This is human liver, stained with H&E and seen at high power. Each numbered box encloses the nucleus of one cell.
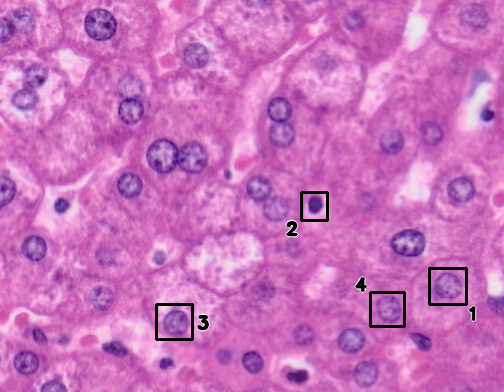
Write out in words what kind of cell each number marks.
Cell 1 is a hepatocyte, cell 2 is a lymphocyte, cell 3 is a hepatocyte and cell 4 is a hepatocyte.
